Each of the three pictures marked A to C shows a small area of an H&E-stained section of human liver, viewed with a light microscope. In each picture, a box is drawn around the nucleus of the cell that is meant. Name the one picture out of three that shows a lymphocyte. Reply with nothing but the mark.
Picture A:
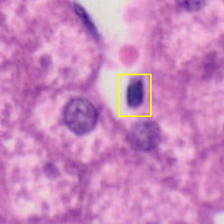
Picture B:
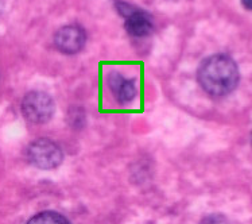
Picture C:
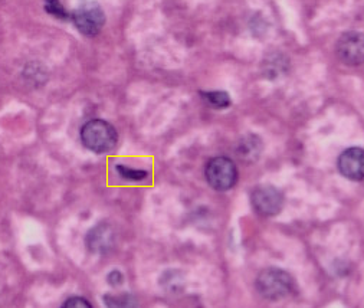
A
